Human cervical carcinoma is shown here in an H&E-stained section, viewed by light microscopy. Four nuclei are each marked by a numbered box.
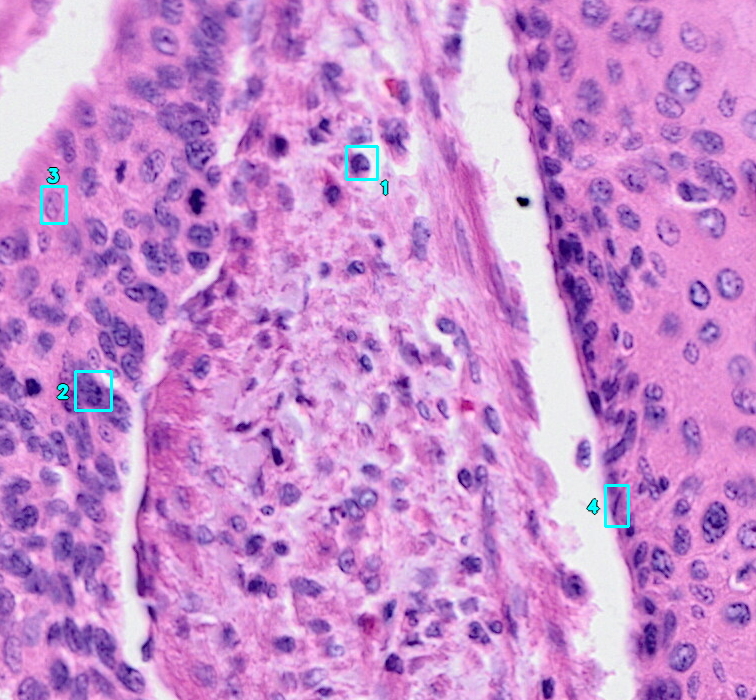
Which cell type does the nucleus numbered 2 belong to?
squamous carcinoma cell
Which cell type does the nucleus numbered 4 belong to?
squamous carcinoma cell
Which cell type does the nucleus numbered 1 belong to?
lymphocyte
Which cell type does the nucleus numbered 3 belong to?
squamous carcinoma cell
